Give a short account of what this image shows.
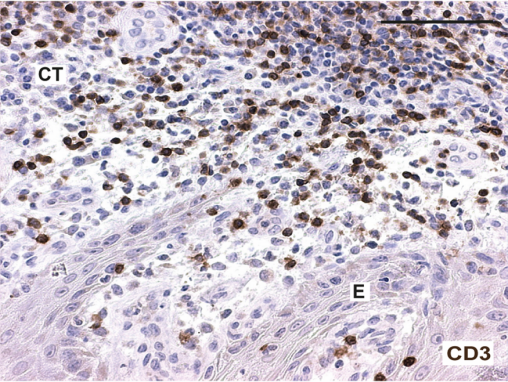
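The lymphocytes have round dark nuclei and scant cytoplasm, and many of them carry a brown stain at their rim, while others show only blue nuclei. They are packed most densely in the upper part of the field and thin out toward the epithelium. The epithelium in the lower part consists of larger polygonal cells with pale pinkish cytoplasm and oval blue nuclei, and a few brown-stained cells lie within it. Between the crowded cells the connective tissue looks loose and pale.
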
